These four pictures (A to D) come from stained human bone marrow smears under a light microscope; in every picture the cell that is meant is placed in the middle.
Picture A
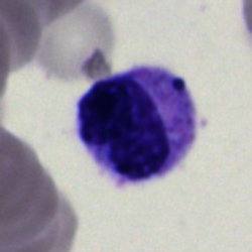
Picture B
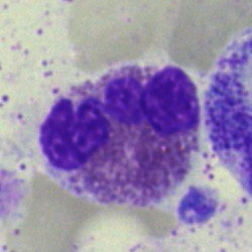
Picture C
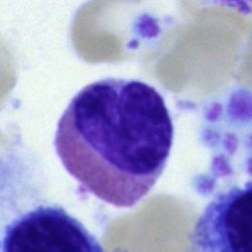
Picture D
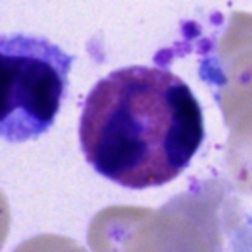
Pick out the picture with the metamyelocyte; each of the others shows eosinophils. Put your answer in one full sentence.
Picture A is the one that shows the metamyelocyte.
